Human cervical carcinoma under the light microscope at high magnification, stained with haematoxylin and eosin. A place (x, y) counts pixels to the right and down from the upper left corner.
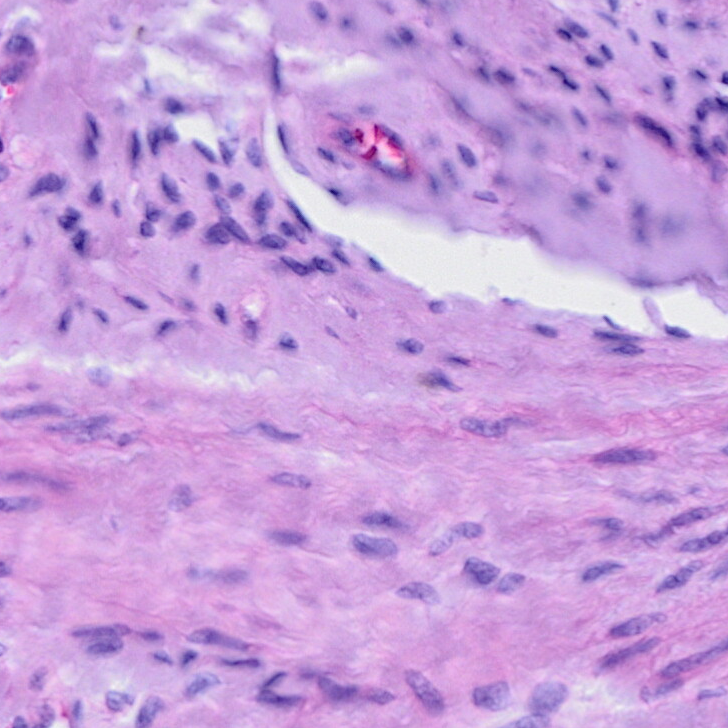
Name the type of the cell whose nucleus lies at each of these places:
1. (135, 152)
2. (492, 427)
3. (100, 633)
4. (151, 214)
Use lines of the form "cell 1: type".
cell 1: fibroblast
cell 2: smooth muscle cell
cell 3: fibroblast
cell 4: fibroblast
